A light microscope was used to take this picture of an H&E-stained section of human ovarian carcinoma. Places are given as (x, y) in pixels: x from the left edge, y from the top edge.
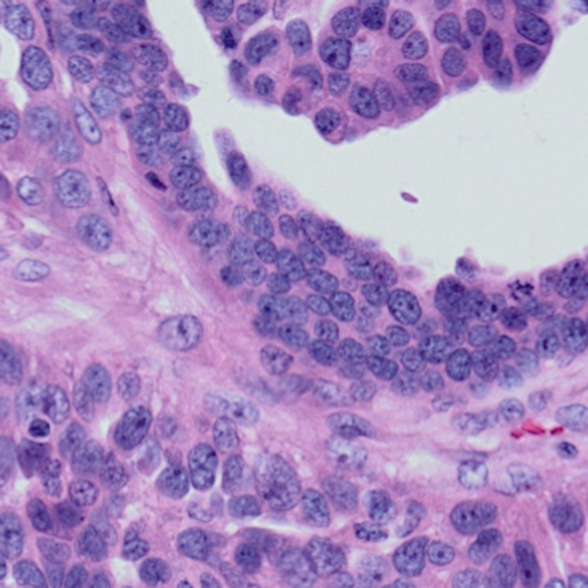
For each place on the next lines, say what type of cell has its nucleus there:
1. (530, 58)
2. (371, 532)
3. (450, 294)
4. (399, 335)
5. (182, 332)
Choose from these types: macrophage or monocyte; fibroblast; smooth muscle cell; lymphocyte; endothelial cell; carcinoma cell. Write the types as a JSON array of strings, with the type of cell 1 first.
["carcinoma cell", "macrophage or monocyte", "carcinoma cell", "carcinoma cell", "fibroblast"]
